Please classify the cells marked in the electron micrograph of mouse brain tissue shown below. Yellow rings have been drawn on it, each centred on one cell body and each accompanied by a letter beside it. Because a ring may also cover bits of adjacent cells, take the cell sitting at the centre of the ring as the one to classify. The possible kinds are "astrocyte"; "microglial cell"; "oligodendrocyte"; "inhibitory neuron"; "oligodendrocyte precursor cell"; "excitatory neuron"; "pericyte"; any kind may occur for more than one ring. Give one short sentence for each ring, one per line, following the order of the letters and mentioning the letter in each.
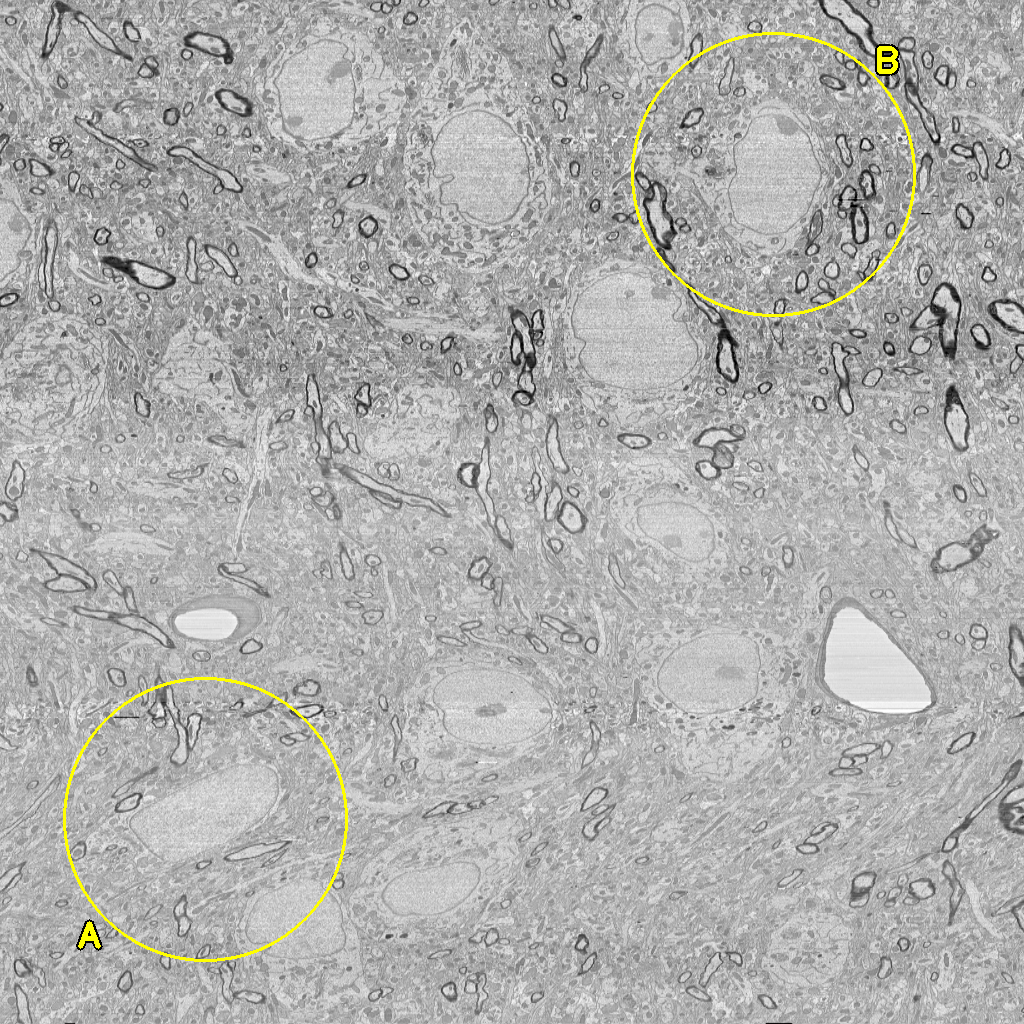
Ring A marks the cell body of an astrocyte.
Ring B marks the cell body of an excitatory neuron.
